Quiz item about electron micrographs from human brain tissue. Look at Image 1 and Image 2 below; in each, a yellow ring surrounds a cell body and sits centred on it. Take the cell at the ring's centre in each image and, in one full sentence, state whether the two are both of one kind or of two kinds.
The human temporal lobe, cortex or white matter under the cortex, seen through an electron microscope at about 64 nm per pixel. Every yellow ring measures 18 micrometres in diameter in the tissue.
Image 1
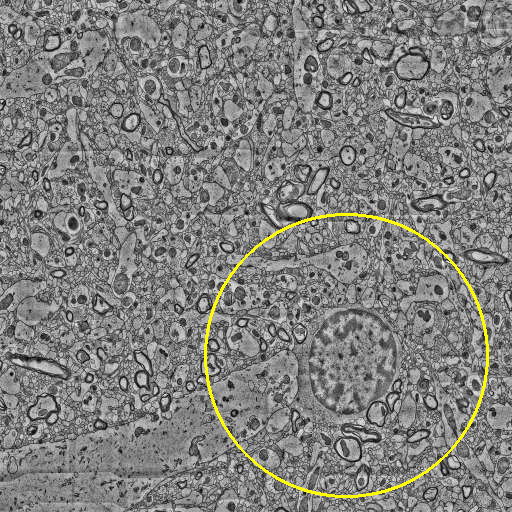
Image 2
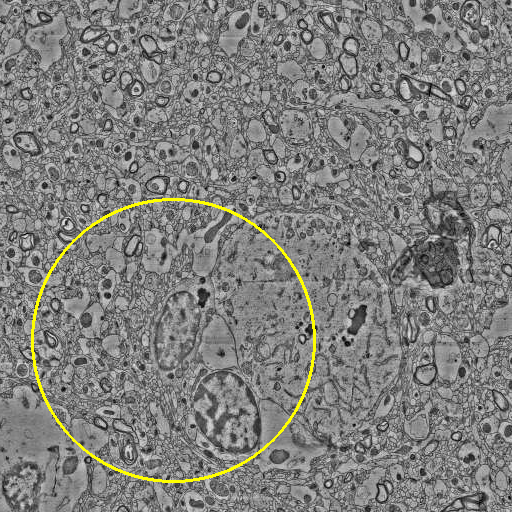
In Image 1 and Image 2, the cells at the ring centres are both of one kind.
